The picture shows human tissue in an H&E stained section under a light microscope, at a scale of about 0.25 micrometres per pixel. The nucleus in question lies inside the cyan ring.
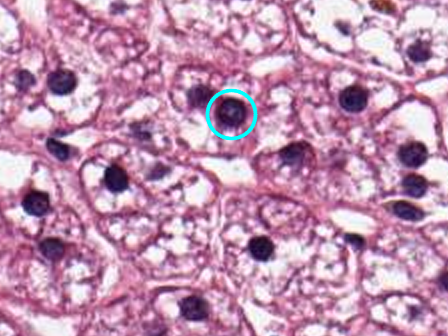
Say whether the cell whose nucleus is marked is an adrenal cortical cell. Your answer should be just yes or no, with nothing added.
yes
